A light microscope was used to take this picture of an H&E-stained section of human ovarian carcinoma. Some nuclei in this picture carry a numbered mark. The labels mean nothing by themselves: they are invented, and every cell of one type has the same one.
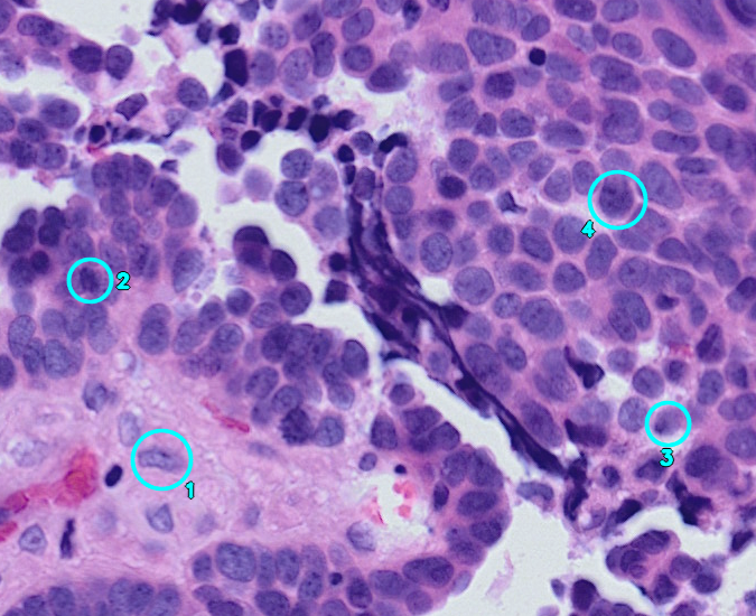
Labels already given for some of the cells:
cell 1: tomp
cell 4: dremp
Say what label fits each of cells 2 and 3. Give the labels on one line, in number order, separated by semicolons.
dremp; dremp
